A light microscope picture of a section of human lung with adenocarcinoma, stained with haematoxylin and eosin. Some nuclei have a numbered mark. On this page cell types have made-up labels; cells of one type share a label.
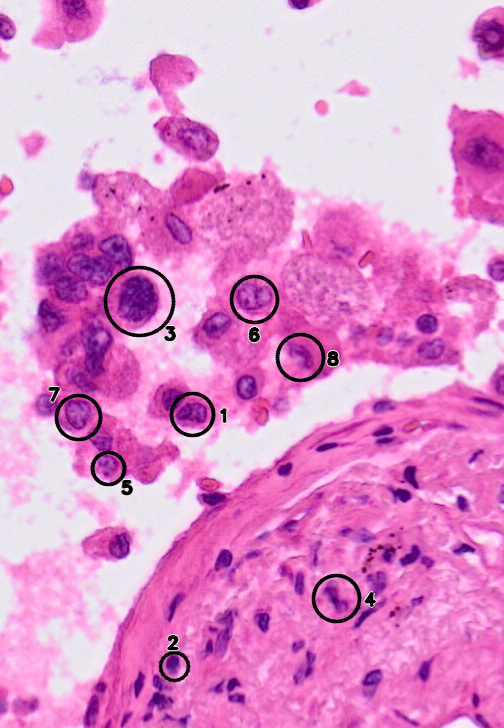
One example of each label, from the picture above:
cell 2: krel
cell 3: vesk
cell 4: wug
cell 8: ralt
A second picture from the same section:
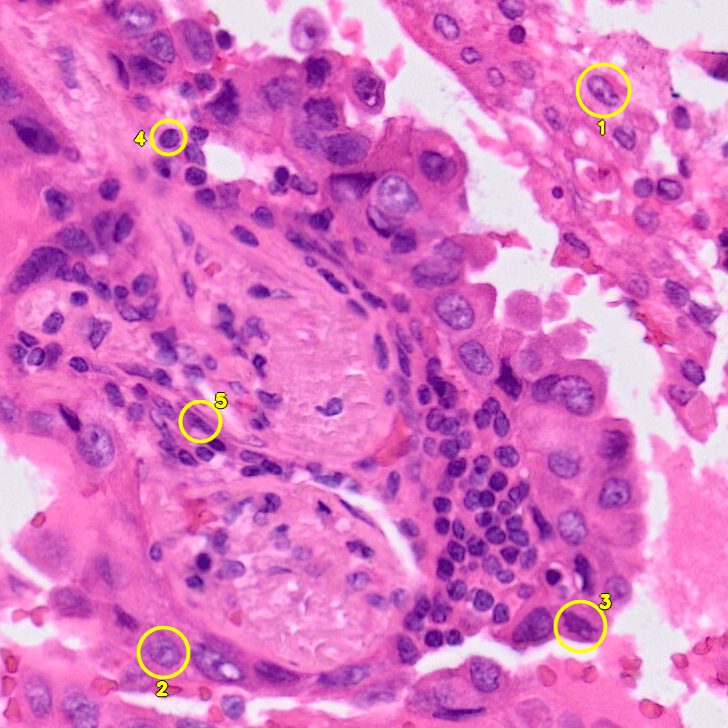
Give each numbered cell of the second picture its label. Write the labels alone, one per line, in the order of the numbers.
ralt
vesk
vesk
krel
wug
